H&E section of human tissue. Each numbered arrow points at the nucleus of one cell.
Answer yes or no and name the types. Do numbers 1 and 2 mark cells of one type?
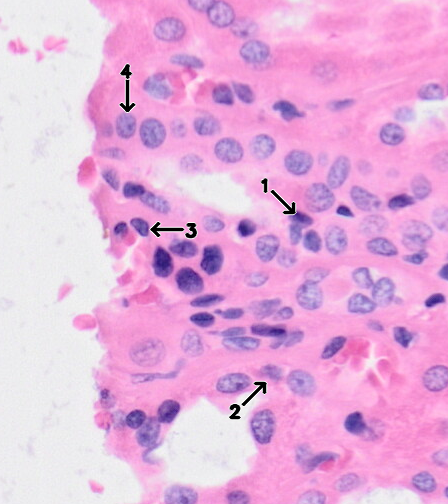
No, cell 1 is a collecting duct cell, and cell 2, for its part, is a loop of Henle or distal tubule cell.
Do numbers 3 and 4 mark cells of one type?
No, cell 4 is a collecting duct cell, but cell 3 is an endothelial cell.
